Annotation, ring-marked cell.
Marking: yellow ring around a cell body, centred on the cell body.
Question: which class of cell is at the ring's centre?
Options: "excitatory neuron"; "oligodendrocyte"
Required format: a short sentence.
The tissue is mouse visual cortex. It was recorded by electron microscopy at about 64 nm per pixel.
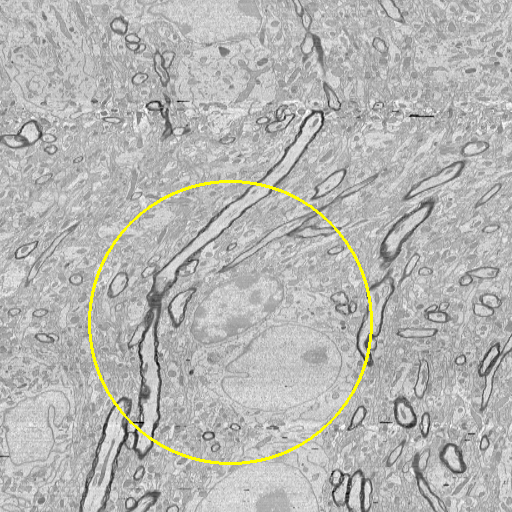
At the ring's centre is an oligodendrocyte.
